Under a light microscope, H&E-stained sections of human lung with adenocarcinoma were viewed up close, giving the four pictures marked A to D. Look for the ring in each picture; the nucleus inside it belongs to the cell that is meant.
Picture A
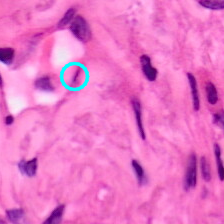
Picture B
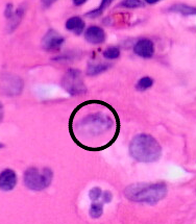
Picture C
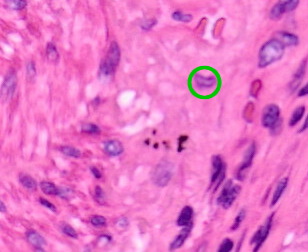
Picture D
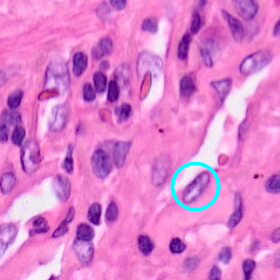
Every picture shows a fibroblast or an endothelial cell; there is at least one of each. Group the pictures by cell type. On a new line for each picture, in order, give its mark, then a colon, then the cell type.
A: endothelial cell
B: endothelial cell
C: fibroblast
D: endothelial cell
